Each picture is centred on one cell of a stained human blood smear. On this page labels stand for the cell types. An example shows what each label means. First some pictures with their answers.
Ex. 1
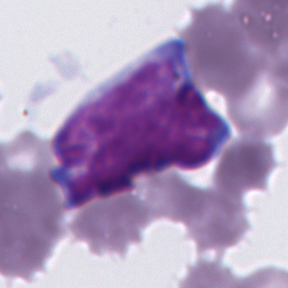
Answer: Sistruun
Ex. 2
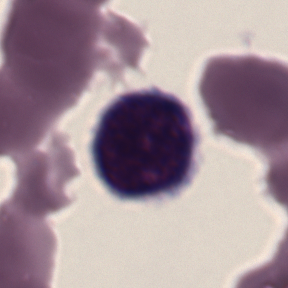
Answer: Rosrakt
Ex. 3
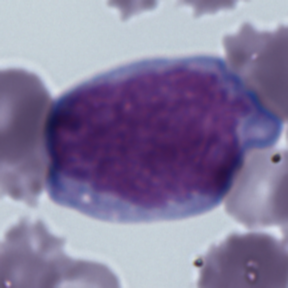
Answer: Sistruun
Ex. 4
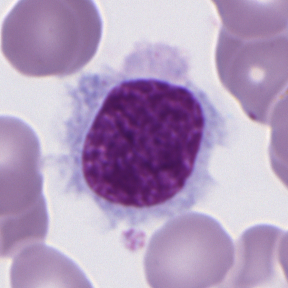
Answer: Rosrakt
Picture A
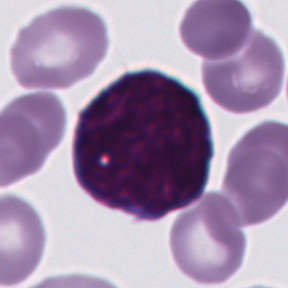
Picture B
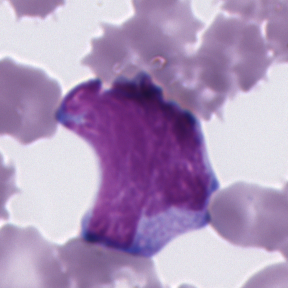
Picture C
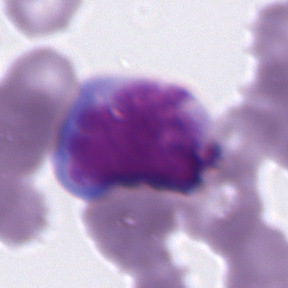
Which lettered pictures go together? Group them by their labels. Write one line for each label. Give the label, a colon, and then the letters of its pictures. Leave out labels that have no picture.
Sistruun: A, B, C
